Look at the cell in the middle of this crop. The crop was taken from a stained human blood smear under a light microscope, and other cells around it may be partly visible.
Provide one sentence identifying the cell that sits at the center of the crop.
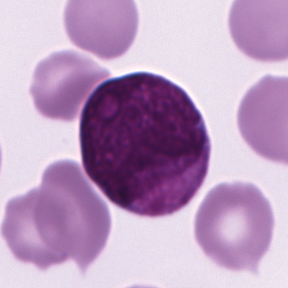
In the center of this field lies a blast.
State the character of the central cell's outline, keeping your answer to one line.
Smooth all around, the outline has no projections to report.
